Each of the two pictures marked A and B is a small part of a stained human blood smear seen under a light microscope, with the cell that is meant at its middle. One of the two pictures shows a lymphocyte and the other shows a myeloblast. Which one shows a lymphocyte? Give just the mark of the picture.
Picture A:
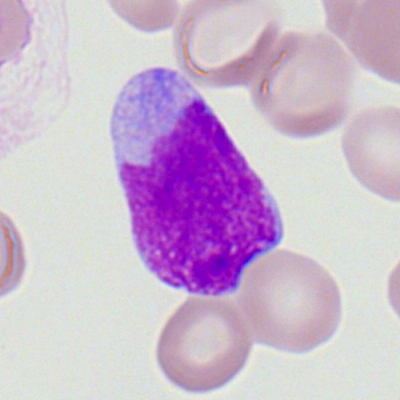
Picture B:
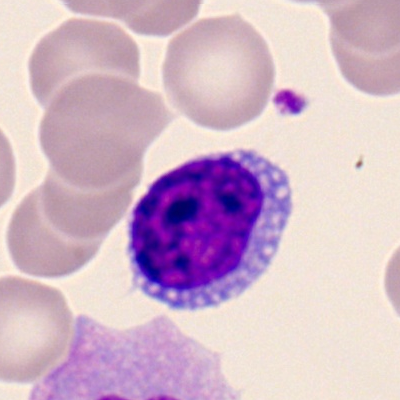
B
